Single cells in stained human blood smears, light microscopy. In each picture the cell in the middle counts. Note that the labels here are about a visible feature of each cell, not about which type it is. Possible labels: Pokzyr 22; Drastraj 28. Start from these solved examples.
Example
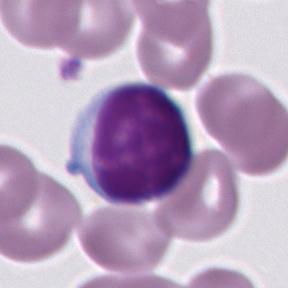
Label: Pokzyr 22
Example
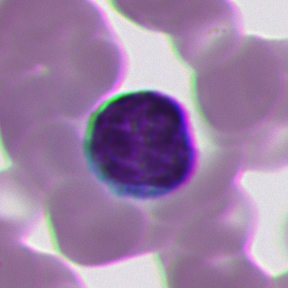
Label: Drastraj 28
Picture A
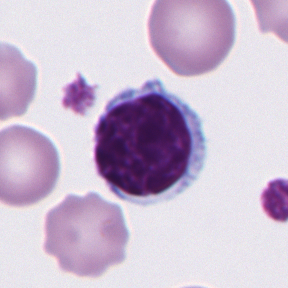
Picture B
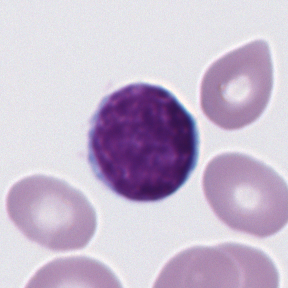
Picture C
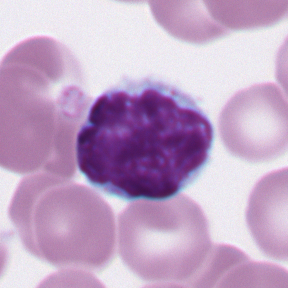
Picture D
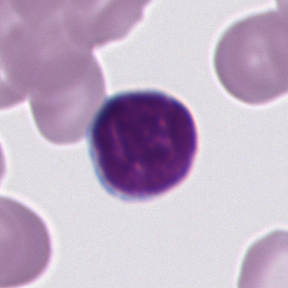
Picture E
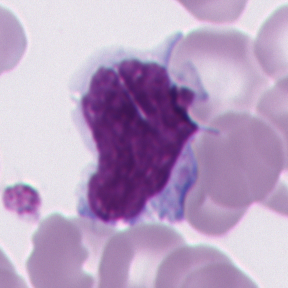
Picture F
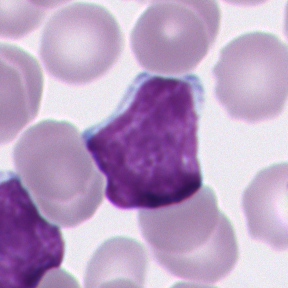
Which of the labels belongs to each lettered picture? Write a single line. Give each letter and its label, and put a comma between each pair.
A Pokzyr 22, B Drastraj 28, C Pokzyr 22, D Drastraj 28, E Pokzyr 22, F Pokzyr 22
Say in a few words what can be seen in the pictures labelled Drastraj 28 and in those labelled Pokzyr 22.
Seen in Drastraj 28: smooth outline; seen in Pokzyr 22: ragged outline or projections.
